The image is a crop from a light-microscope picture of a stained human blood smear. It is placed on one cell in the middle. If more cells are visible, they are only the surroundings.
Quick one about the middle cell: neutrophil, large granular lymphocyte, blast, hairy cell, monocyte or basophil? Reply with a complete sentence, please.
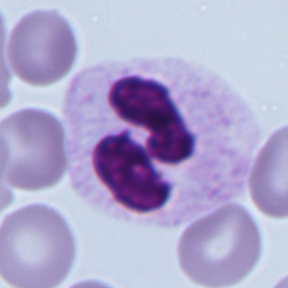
The center cell of this crop is a neutrophil.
